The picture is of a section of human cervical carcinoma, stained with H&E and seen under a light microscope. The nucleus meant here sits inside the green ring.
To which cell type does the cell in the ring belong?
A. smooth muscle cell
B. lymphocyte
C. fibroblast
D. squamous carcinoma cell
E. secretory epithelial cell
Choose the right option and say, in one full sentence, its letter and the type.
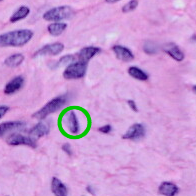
As the cell in the ring is a fibroblast, the correct choice is option C.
